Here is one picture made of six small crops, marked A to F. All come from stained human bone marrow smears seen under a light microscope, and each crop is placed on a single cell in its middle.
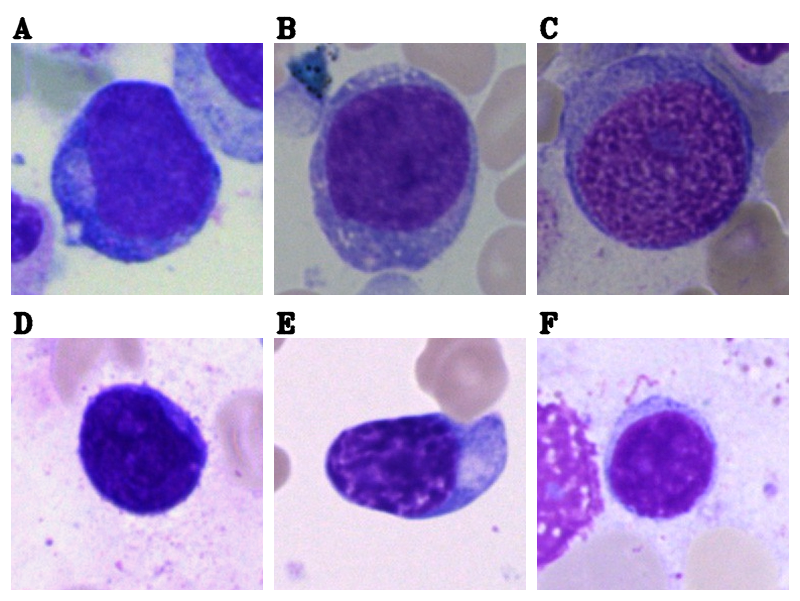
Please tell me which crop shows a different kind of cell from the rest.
F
